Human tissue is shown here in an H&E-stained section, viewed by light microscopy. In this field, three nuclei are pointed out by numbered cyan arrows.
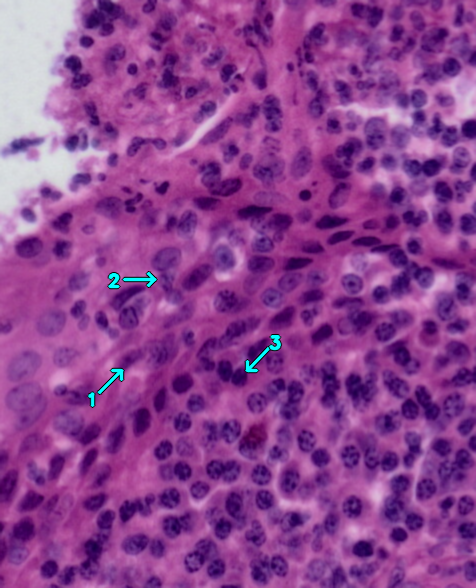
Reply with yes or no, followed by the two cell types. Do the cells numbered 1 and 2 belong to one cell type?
Yes, squamous epithelial cells are what cells 1 and 2 both are.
